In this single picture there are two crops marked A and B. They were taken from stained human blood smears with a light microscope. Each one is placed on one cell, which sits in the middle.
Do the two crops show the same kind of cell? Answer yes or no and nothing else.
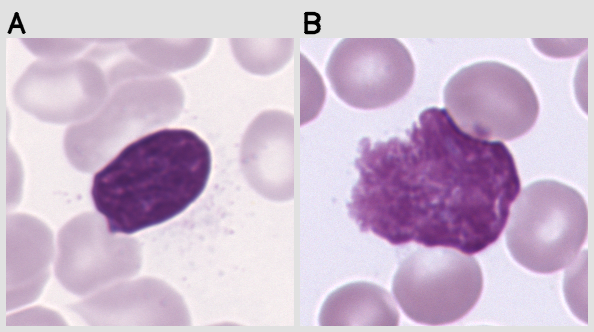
yes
